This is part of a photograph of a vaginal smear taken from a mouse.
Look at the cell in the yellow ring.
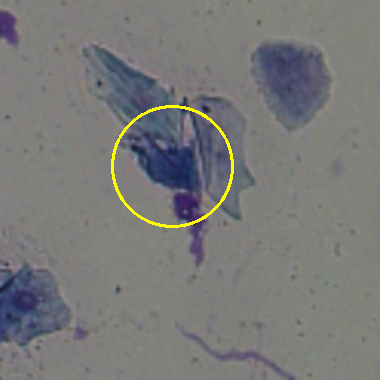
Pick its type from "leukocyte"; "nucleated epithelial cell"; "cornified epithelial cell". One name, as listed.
cornified epithelial cell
